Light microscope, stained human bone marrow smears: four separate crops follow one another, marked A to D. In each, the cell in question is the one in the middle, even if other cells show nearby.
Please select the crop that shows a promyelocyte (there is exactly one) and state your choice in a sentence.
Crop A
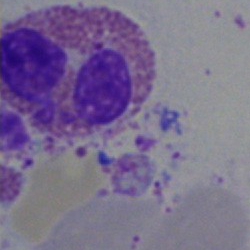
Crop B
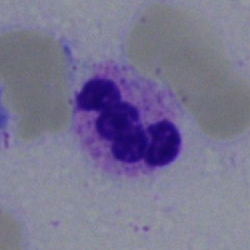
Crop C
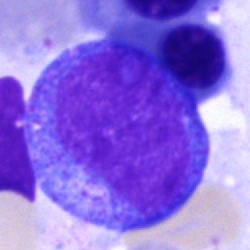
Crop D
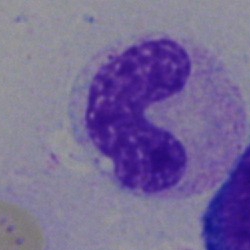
It is in crop C, among all the crops, that a promyelocyte is present.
